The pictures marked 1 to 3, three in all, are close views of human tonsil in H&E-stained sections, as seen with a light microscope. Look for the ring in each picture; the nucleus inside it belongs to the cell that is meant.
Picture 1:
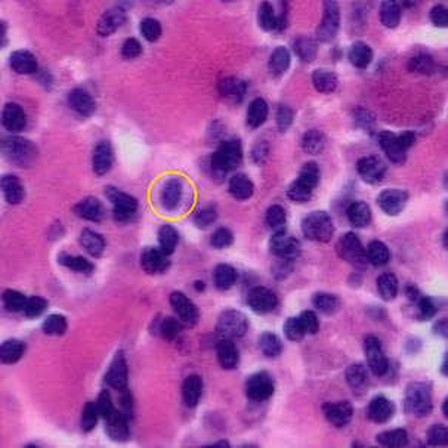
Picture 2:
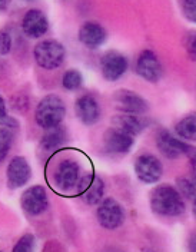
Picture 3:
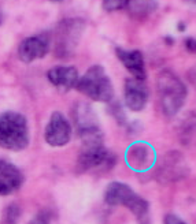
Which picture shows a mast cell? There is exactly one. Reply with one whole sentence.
The mast cell is the one in picture 1.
